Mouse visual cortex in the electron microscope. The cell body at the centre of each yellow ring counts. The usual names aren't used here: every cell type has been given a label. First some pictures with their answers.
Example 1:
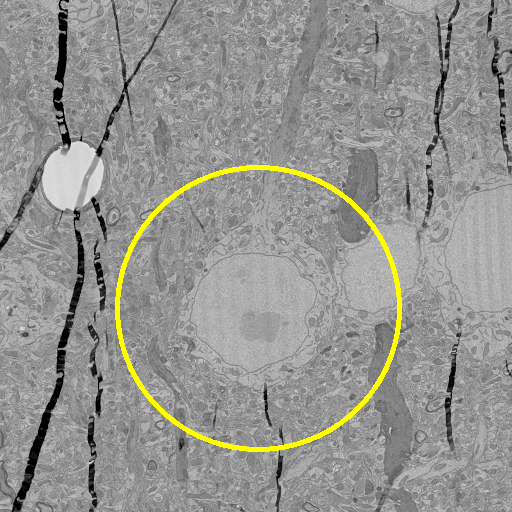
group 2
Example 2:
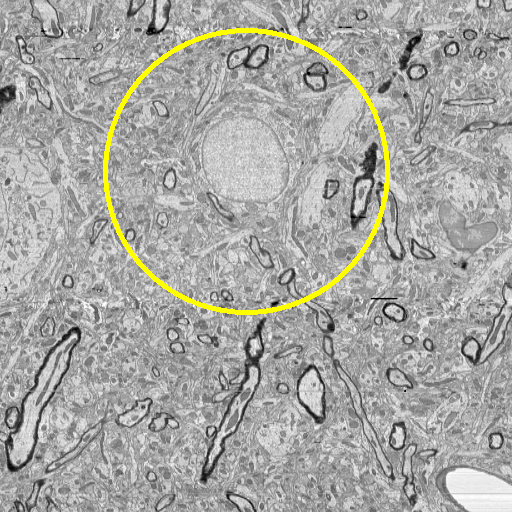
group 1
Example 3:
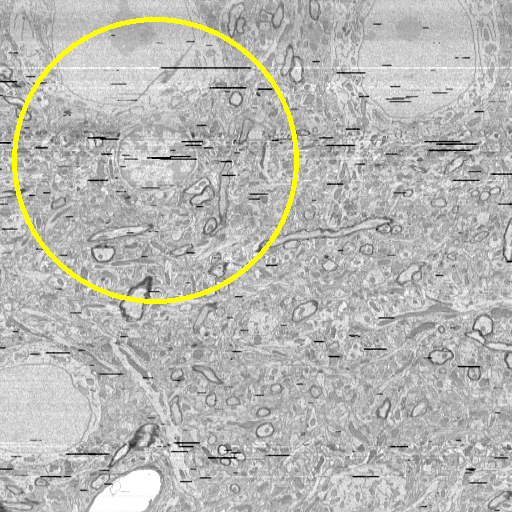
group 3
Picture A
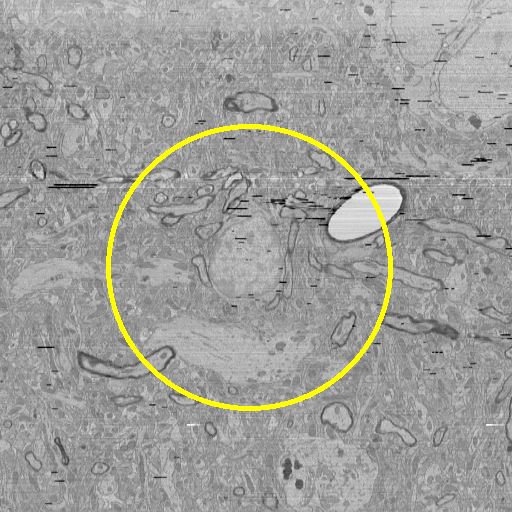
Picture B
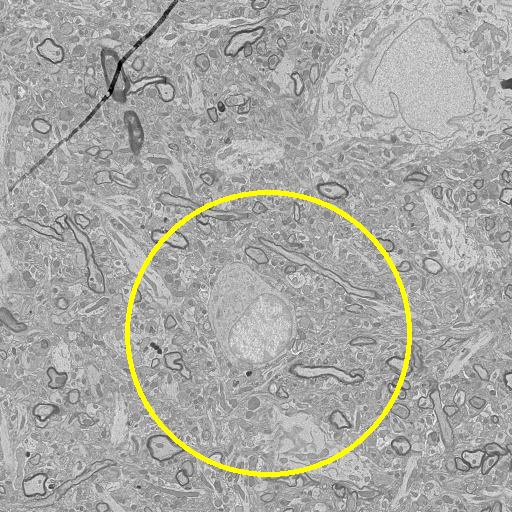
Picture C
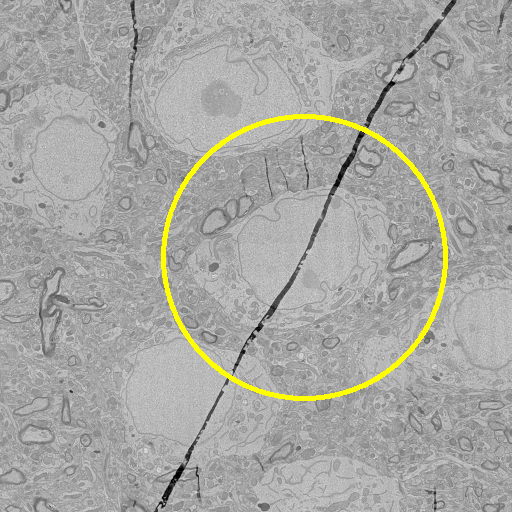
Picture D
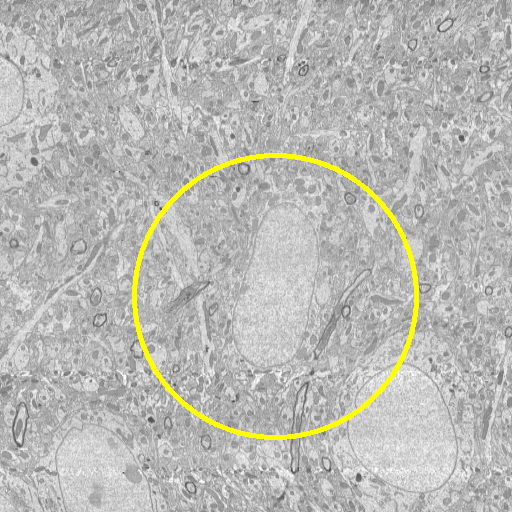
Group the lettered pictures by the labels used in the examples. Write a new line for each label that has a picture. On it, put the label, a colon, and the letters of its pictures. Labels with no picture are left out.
group 2: C
group 1: D
group 3: A, B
